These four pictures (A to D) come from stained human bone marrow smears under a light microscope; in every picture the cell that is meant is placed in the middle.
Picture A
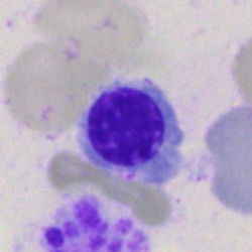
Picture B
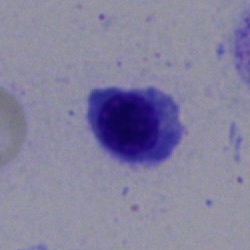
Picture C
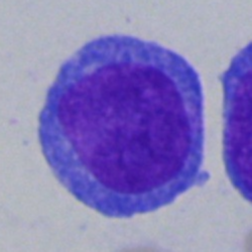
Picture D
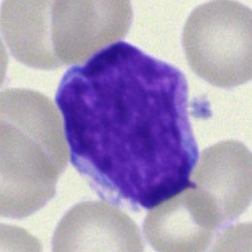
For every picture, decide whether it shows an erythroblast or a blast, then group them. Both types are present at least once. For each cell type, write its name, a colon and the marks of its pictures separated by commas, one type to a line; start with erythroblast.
erythroblast: A, B
blast: C, D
